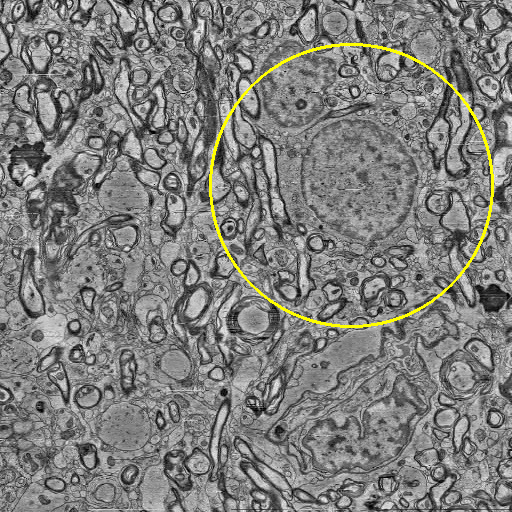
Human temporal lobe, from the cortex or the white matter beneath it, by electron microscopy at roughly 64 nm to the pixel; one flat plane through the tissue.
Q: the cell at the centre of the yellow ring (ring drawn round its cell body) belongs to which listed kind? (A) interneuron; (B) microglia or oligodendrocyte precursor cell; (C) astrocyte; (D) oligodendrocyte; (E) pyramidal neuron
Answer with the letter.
D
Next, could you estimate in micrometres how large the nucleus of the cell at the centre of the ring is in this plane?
The nucleus of the ringed cell is approximately 8 micrometres across in this plane.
